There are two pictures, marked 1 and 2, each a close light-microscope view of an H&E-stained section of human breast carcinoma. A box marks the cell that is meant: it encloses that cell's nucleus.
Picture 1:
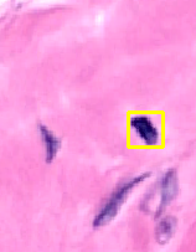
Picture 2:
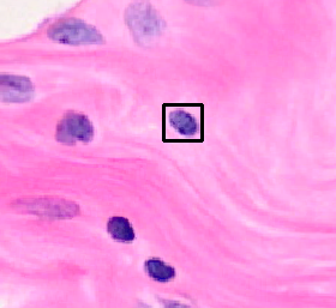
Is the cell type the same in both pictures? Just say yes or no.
yes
